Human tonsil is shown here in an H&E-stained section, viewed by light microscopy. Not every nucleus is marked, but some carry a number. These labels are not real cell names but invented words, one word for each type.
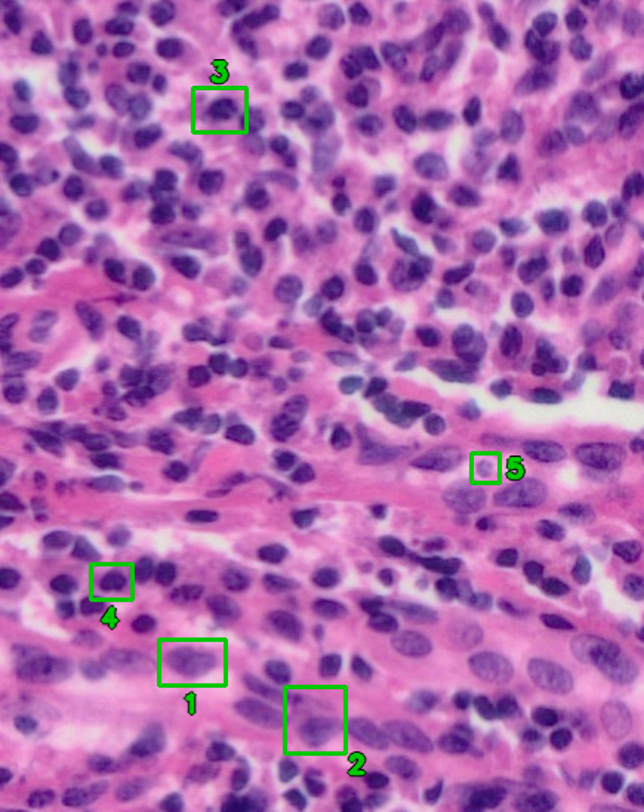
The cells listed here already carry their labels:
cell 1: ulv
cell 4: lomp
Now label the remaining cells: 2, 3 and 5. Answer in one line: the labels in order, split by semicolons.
ulv; lomp; ulv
